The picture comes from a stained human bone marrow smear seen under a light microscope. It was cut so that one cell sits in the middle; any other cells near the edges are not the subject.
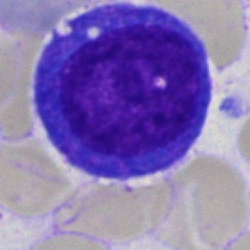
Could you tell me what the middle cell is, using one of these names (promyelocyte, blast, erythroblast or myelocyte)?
promyelocyte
